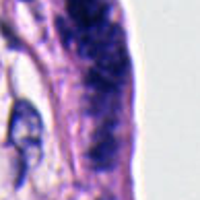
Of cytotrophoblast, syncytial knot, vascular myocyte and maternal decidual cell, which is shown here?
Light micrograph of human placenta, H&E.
syncytial knot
